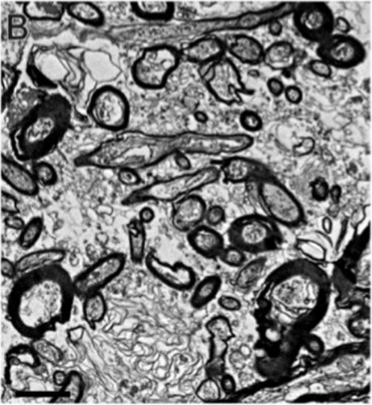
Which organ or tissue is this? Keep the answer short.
White matter.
